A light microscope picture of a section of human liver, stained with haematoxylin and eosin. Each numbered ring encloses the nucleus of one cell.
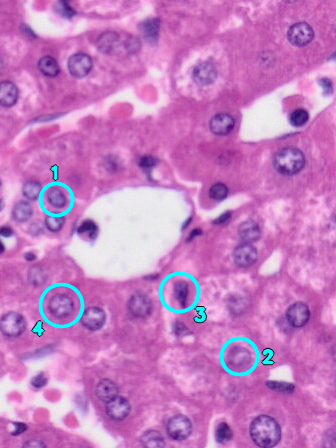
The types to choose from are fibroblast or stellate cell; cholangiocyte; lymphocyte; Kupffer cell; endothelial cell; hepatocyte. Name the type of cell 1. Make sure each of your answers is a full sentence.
Numbered cell 1 is a cholangiocyte in this tissue section.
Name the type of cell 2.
In this section, the cell tagged 2 is a hepatocyte.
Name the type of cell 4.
Cell 4 in the field is a hepatocyte.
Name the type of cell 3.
The cell pointed out as number 3 is a fibroblast or stellate cell.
